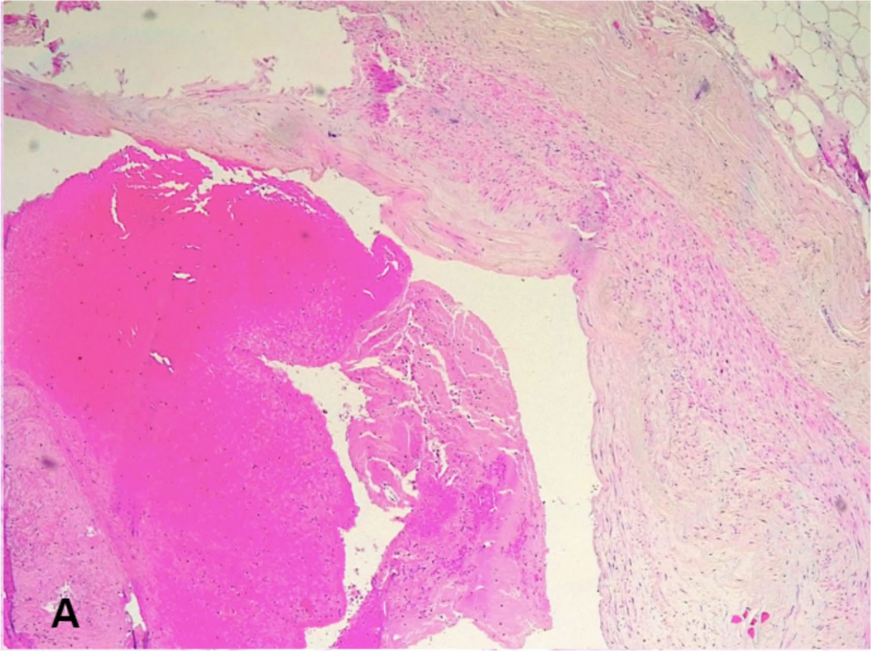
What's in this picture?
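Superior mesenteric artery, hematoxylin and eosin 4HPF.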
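A large, dense, intensely pink mass occupies the left part of the field, with a paler, layered fragment beside it. To the right, the vessel wall forms a broad band of pale pink fibromuscular tissue with elongated nuclei. A clear space separates much of the pink mass from the wall, and mature adipose tissue with empty round fat cells lies outside the wall at the upper right.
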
